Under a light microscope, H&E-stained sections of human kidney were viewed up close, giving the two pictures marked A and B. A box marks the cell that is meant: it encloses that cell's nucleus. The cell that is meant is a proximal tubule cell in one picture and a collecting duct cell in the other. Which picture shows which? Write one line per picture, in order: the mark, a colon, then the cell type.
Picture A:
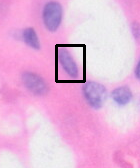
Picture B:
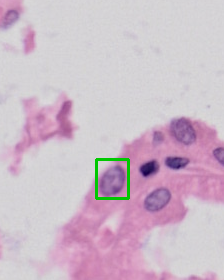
A: collecting duct cell
B: proximal tubule cell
